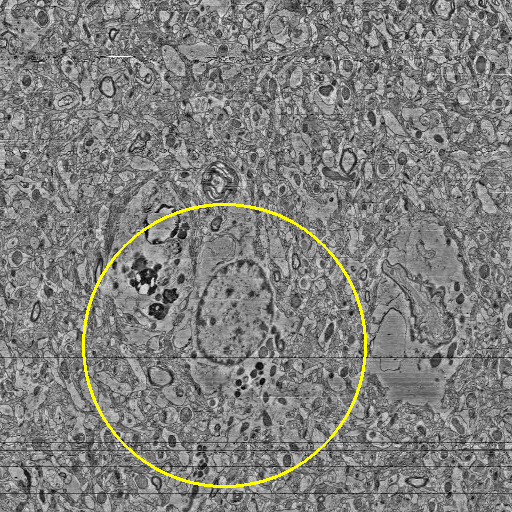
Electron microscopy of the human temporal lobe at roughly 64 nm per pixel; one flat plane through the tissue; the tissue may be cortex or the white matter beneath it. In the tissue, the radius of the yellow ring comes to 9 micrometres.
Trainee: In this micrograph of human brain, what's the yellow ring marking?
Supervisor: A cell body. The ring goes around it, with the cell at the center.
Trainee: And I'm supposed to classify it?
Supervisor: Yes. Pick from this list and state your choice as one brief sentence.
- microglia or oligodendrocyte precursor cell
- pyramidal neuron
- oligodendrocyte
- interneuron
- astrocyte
The cell at the ring's center is an astrocyte.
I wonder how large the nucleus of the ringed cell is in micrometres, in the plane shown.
The nucleus appears roughly 7 by 5 micrometres in this plane.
